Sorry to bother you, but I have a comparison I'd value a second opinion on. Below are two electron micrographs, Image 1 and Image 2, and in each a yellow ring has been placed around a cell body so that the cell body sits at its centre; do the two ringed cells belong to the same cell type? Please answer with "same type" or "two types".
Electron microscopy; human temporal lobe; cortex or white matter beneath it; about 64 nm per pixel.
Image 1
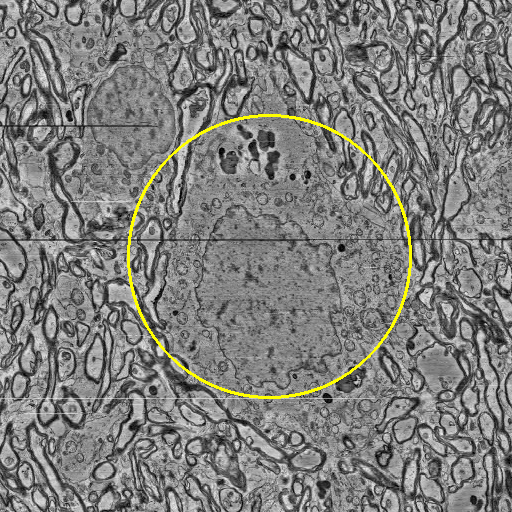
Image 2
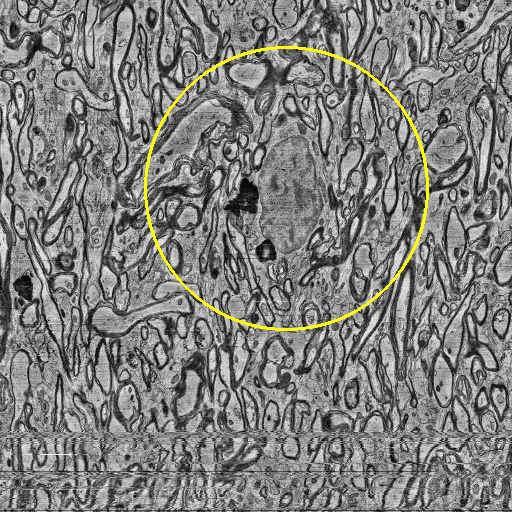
two types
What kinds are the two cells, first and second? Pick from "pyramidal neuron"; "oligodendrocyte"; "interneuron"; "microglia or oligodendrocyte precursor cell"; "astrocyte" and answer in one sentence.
The second picture holds an oligodendrocyte in its ring, and the first holds a pyramidal neuron.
